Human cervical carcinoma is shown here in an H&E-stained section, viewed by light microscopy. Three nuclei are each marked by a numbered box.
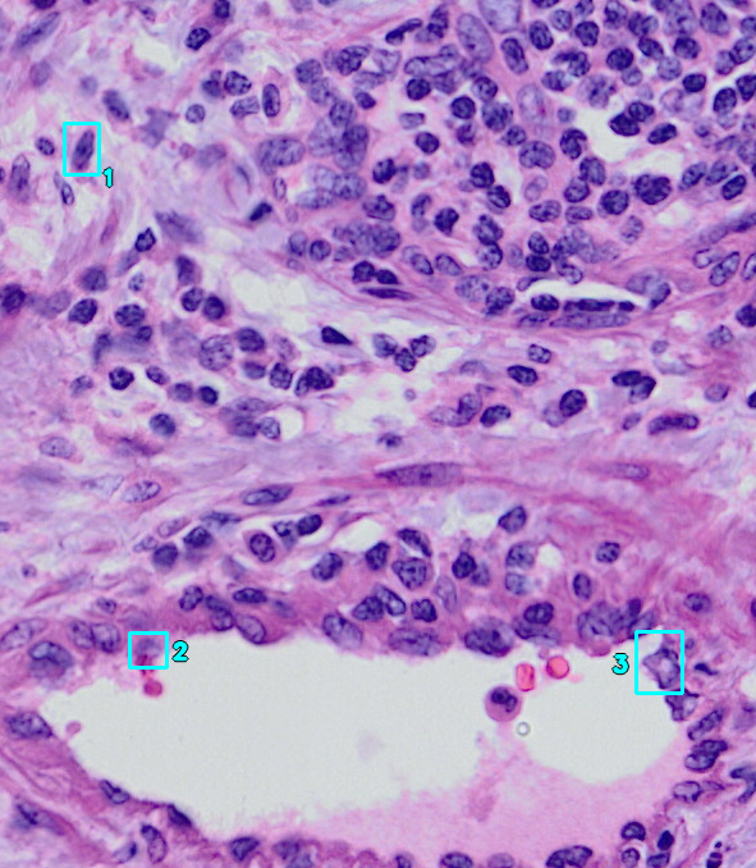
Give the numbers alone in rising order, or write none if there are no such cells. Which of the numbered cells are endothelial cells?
2, 3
